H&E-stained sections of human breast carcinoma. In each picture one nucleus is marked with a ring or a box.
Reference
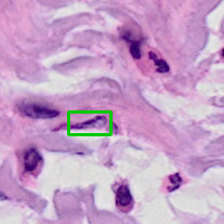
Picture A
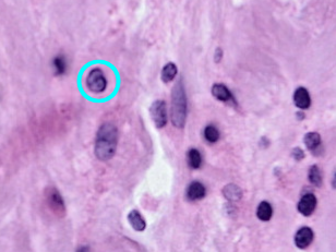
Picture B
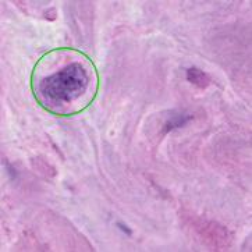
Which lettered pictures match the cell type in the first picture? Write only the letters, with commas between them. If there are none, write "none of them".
B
